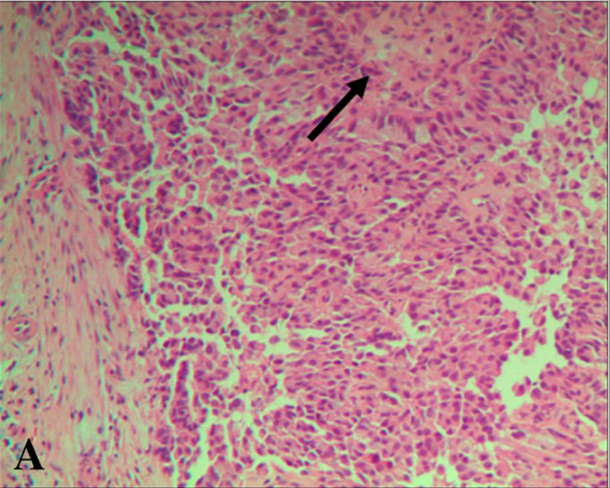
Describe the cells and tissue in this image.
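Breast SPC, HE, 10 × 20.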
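A solid island of fairly uniform epithelial cells fills most of the field, with fibrous stroma of elongated spindle cells along the left edge. The tumour cells have ovoid to elongated nuclei staining purple and pink cytoplasm, and thin pink fibrovascular strands run in among them, with small clefts of empty space between cell groups.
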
